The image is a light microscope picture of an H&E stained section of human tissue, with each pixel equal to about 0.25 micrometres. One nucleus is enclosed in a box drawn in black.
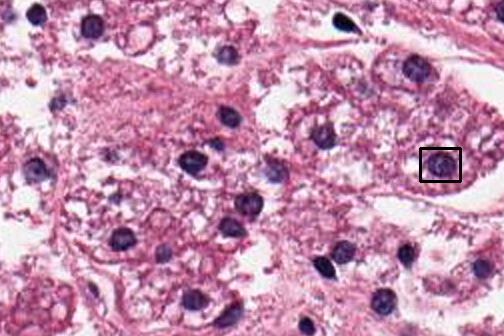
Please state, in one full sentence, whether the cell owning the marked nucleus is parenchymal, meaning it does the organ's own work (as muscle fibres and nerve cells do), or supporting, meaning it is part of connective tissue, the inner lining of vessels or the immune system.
The marked nucleus is carried by a parenchymal cell, namely an adrenal cortical cell.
